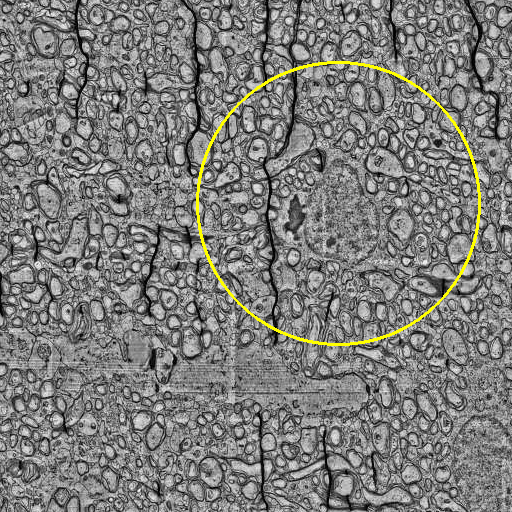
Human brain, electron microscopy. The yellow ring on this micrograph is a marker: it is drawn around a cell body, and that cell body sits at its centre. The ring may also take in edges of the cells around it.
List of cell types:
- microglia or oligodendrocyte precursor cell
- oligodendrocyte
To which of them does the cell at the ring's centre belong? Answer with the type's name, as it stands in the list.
oligodendrocyte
